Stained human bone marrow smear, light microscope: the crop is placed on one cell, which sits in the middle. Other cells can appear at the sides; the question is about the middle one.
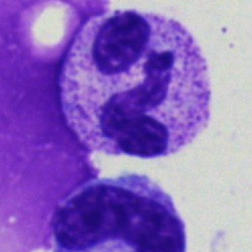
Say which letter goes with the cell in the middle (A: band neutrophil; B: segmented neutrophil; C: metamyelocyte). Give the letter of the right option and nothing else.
B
